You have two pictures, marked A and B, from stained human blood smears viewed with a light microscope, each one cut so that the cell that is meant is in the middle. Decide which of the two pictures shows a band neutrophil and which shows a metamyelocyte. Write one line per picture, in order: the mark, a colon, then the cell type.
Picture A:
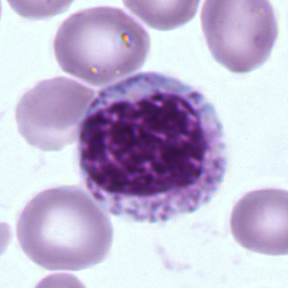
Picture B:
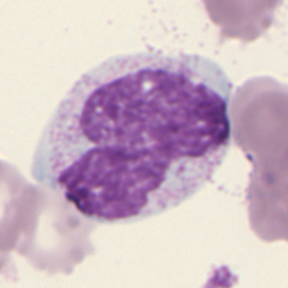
A: metamyelocyte
B: band neutrophil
